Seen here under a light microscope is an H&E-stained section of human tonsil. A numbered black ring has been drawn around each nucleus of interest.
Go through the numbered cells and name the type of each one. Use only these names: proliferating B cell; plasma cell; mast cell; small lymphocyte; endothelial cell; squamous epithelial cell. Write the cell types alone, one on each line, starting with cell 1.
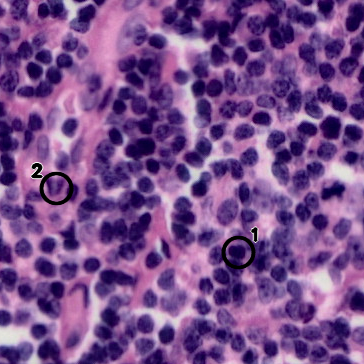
small lymphocyte
endothelial cell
